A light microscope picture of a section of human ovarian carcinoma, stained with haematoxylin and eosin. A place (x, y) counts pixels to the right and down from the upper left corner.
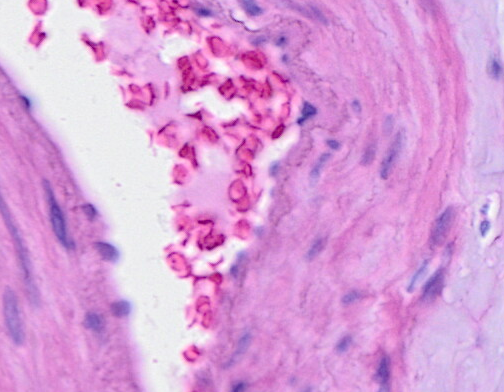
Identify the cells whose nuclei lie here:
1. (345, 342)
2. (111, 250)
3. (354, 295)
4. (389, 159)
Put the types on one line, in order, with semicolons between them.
smooth muscle cell; endothelial cell; smooth muscle cell; smooth muscle cell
